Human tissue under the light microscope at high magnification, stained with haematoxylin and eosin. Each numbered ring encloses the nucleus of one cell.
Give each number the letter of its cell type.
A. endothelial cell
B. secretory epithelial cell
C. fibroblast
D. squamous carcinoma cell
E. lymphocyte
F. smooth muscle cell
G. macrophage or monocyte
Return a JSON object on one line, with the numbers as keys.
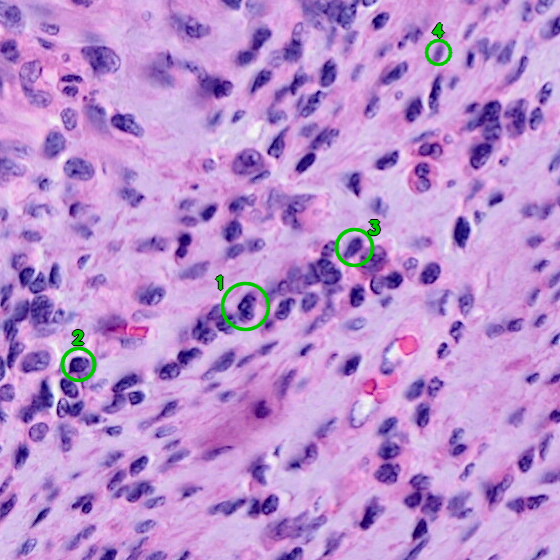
{"1": "E", "2": "E", "3": "E", "4": "C"}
